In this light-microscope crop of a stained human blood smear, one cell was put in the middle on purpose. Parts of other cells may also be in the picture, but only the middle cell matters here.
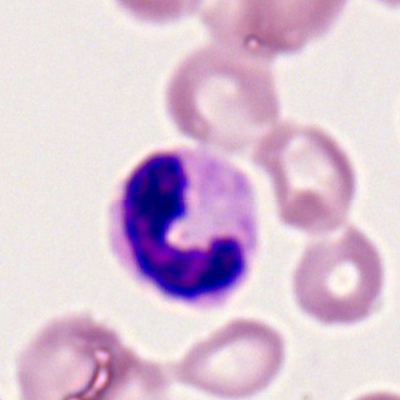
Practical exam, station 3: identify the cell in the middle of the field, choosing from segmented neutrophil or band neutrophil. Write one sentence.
Standing at the centre of this crop is a band neutrophil.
